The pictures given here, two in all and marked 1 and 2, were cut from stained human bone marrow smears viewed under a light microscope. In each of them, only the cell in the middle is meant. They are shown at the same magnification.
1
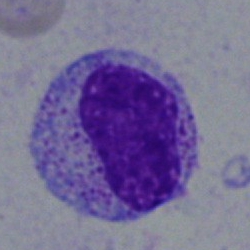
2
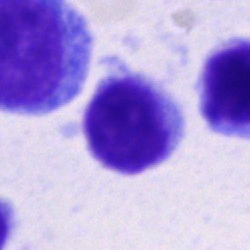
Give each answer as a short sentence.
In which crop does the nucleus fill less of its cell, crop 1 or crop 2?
Of the two, the nucleus in crop 1 leaves more room for cytoplasm.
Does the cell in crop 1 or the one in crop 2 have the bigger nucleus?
Crop 1 shows the larger nucleus; it covers about 2 times the area of the nucleus in crop 2.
